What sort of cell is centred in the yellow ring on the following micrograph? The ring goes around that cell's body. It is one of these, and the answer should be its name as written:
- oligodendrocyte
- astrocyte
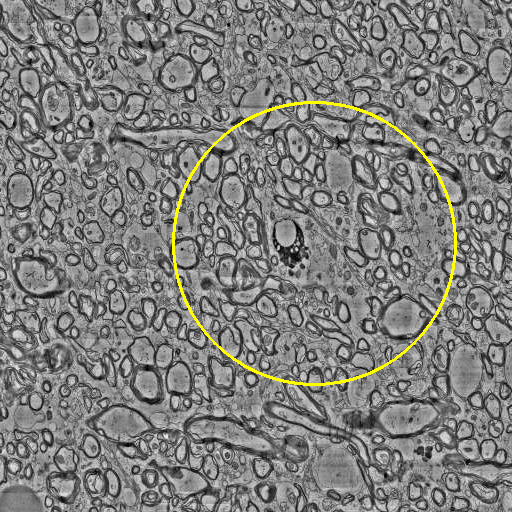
astrocyte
